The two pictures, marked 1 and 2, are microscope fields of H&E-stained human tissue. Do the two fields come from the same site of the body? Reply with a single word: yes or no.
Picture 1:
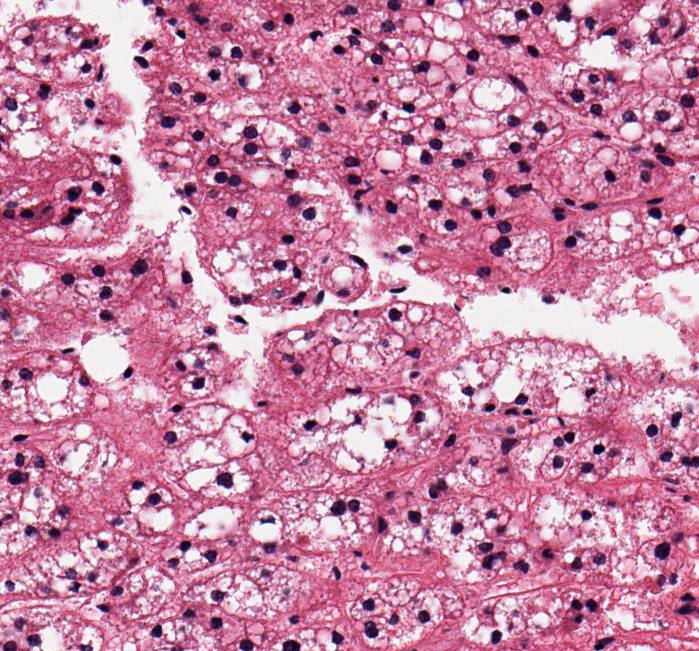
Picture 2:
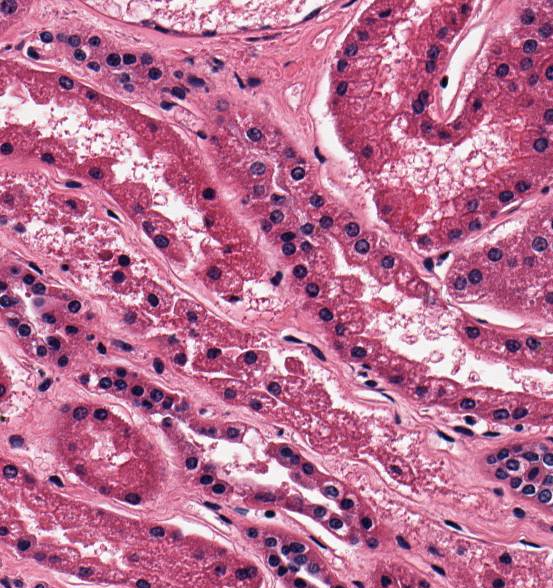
no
